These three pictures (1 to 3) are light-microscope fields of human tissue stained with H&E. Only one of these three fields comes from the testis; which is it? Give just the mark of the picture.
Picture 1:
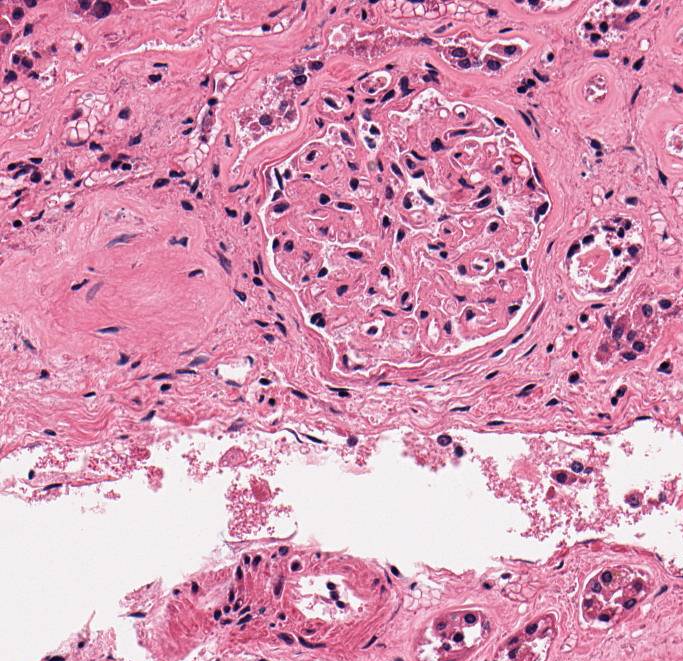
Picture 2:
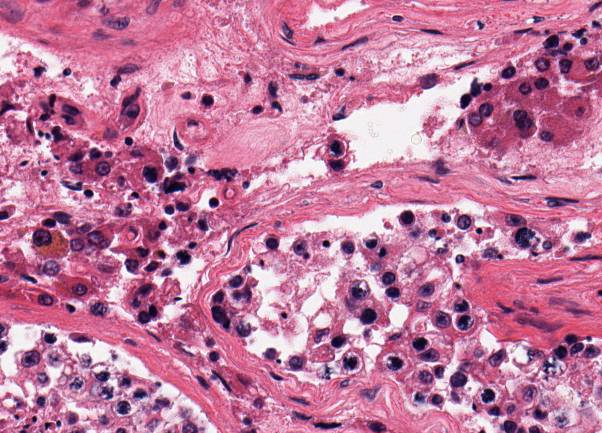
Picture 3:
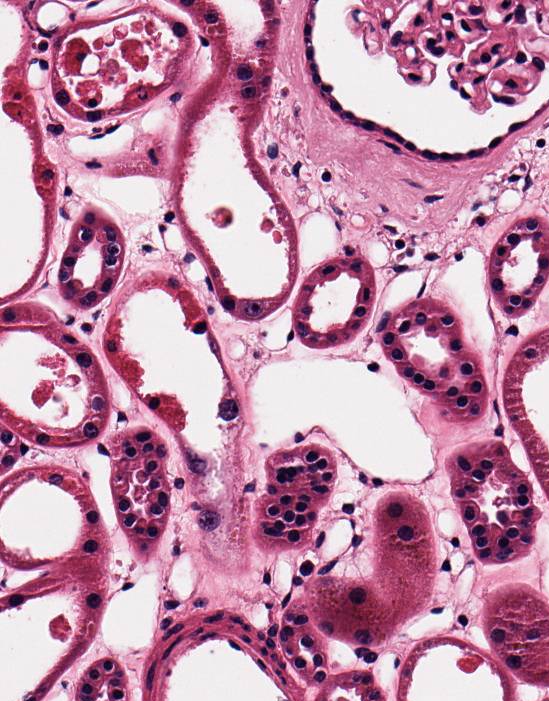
2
